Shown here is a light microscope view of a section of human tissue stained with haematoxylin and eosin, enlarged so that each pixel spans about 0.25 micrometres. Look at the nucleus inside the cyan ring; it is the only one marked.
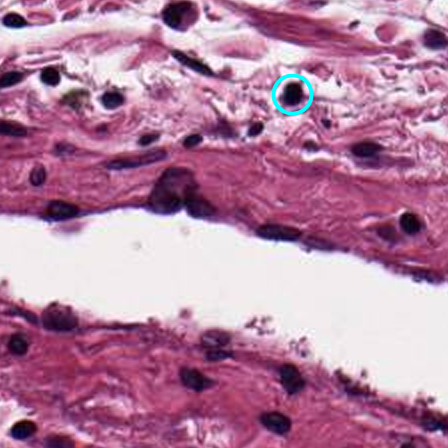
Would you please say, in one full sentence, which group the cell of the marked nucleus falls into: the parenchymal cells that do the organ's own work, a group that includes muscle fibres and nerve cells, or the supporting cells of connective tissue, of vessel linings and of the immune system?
Among the cells in view, a supporting cell holds the marked nucleus.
